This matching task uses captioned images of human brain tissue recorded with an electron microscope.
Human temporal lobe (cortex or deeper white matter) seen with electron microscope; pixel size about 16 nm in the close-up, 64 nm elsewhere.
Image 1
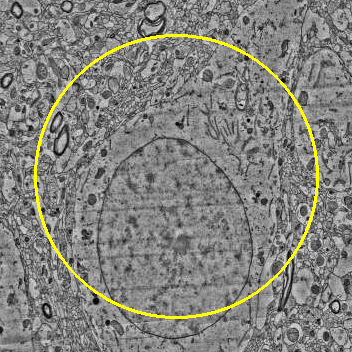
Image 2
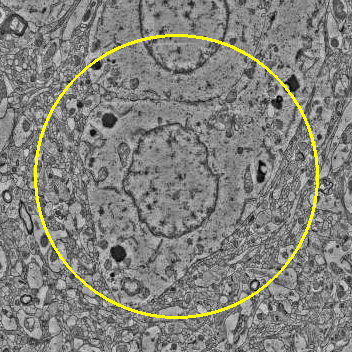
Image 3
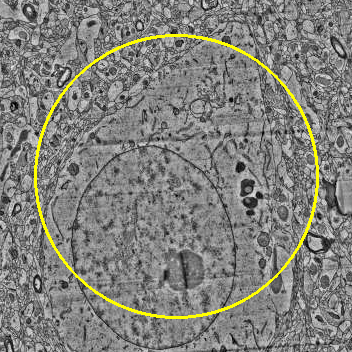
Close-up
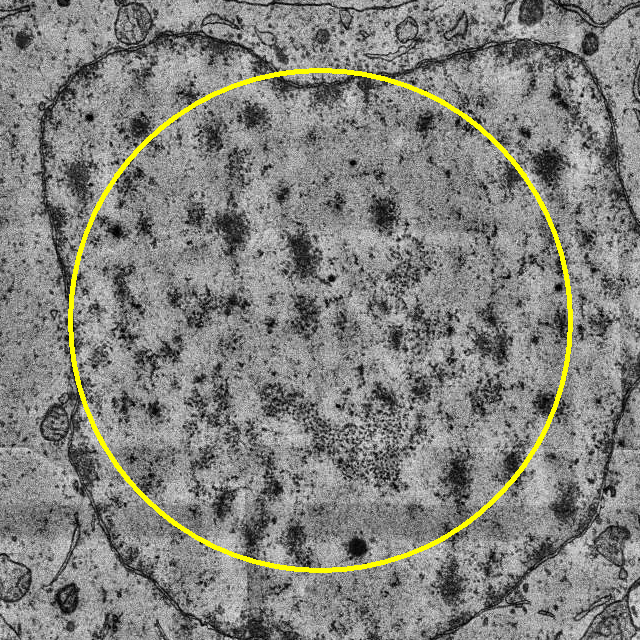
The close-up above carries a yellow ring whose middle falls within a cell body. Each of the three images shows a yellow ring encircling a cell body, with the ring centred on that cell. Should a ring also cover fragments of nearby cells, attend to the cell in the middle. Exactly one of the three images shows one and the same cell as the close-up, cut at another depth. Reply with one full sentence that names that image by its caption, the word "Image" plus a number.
The cell displayed in the close-up is circled in Image 2.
